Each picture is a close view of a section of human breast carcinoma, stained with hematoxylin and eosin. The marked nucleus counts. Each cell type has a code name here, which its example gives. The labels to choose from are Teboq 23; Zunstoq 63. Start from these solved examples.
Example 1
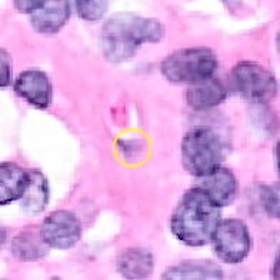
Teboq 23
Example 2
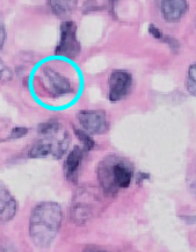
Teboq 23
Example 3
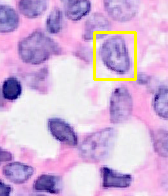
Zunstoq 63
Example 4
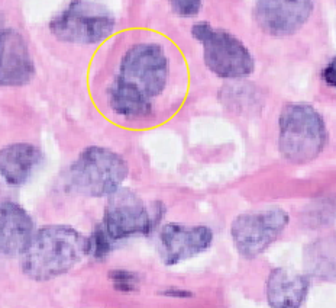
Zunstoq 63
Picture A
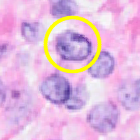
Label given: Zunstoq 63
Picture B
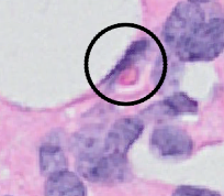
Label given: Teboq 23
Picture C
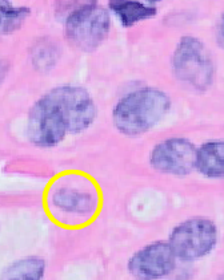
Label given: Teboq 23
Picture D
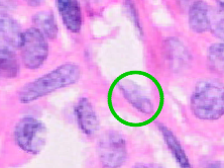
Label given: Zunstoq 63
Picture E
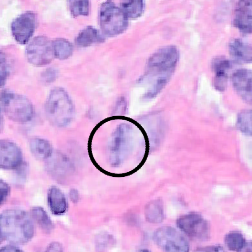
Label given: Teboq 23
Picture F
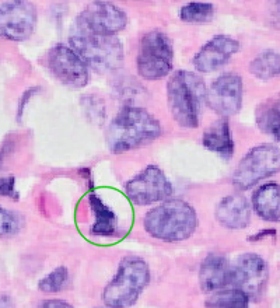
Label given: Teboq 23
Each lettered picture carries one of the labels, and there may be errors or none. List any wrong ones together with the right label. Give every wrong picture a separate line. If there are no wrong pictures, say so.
D should be Teboq 23, not Zunstoq 63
